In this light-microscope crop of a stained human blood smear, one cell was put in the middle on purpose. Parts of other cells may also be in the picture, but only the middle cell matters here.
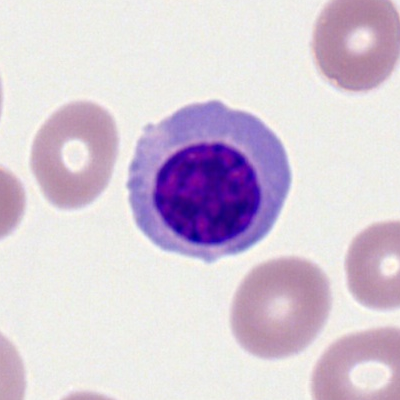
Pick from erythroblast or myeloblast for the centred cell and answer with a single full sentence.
The cell in the middle of the field of view is an erythroblast.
